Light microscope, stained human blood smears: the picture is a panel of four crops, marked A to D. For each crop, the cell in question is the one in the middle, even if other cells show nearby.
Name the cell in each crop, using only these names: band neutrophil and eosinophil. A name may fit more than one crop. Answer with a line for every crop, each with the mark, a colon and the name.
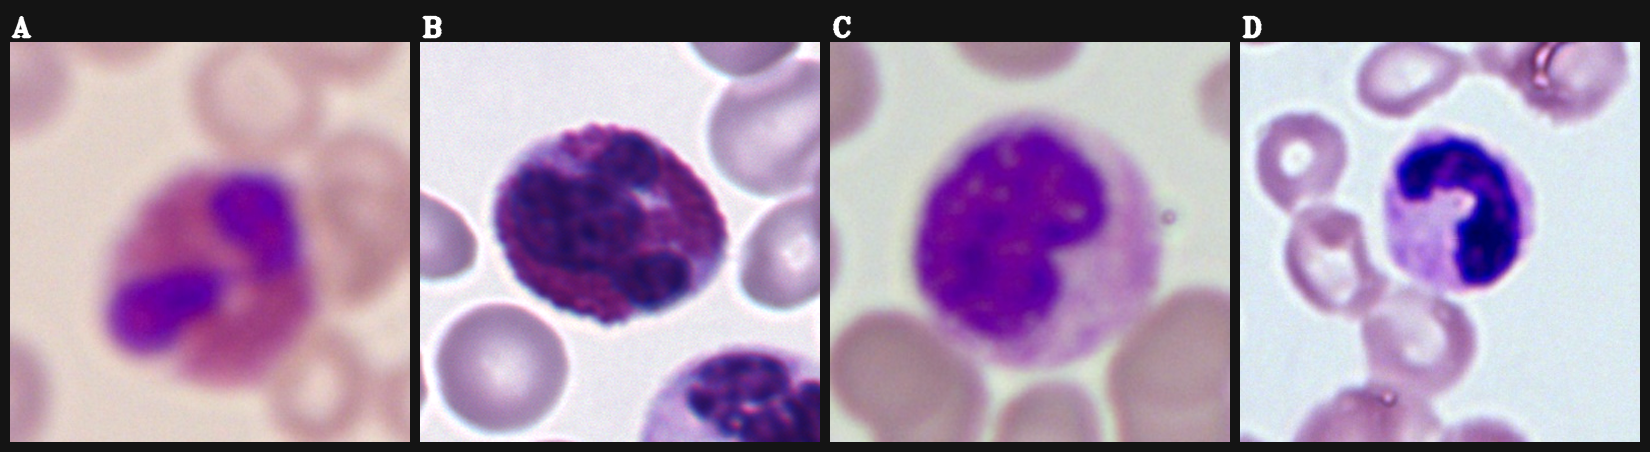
A: eosinophil
B: eosinophil
C: band neutrophil
D: band neutrophil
